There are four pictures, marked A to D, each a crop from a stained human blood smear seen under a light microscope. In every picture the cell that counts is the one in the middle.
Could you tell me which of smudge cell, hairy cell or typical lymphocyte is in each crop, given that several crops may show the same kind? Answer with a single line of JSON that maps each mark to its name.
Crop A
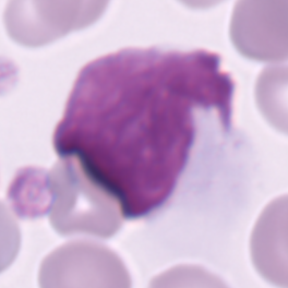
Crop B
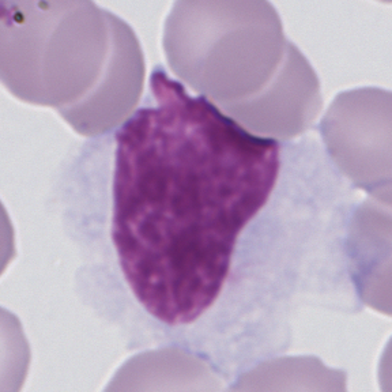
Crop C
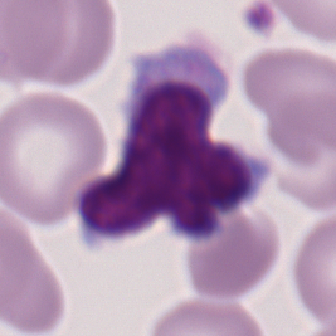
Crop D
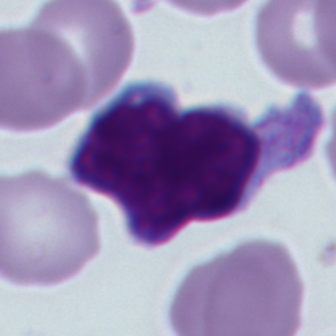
{"A": "smudge cell", "B": "hairy cell", "C": "typical lymphocyte", "D": "typical lymphocyte"}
